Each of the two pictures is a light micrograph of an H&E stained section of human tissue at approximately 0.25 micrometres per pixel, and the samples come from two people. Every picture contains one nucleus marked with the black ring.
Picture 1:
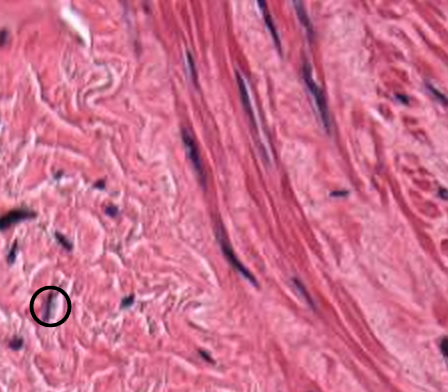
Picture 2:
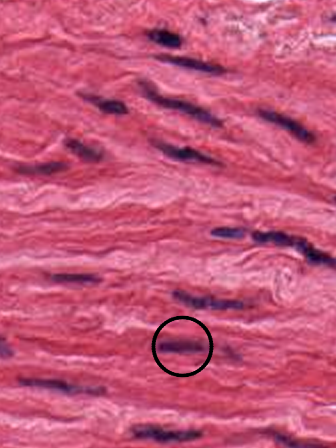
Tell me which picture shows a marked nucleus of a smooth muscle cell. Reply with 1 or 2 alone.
2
